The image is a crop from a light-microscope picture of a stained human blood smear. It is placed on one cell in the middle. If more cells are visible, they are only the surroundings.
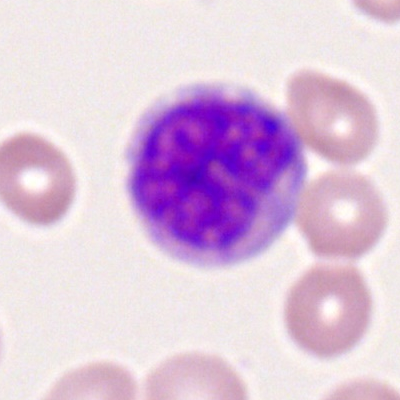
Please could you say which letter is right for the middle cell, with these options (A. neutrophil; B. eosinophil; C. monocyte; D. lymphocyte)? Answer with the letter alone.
C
